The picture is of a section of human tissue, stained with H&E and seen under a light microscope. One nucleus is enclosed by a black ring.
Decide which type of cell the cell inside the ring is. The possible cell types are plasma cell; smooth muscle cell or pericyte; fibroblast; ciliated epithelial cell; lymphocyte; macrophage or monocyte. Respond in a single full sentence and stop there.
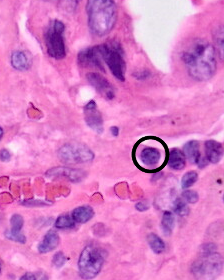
For the purposes of cell typing, the cell inside the ring is categorized as a lymphocyte.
